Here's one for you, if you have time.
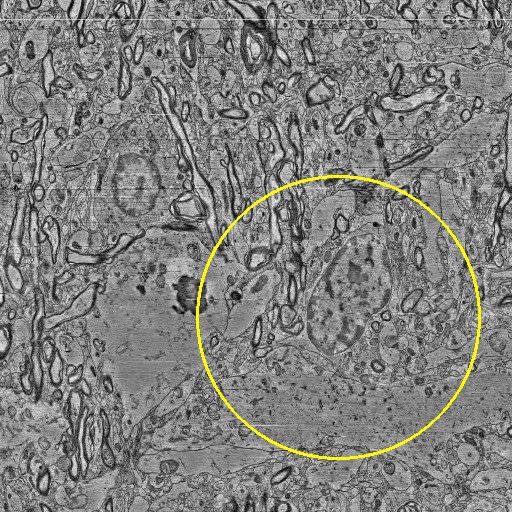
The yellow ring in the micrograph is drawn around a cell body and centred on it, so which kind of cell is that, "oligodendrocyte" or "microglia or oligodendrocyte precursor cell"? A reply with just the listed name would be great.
microglia or oligodendrocyte precursor cell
